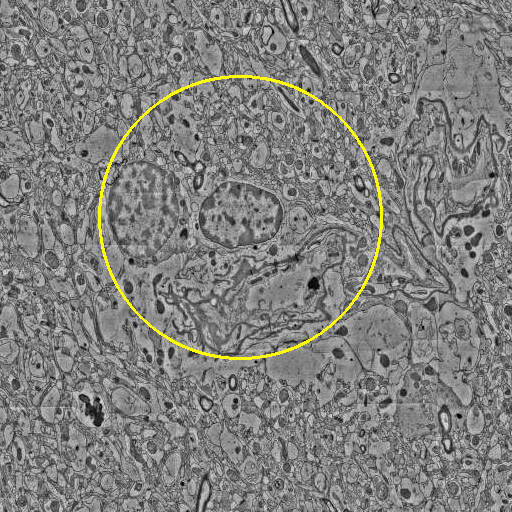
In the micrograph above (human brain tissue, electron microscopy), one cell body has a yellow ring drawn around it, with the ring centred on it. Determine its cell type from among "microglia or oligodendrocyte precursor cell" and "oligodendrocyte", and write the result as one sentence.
The cell whose body is ringed is a microglial cell or oligodendrocyte precursor cell.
